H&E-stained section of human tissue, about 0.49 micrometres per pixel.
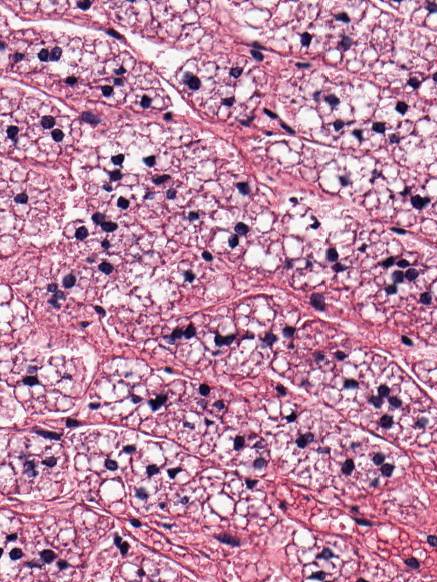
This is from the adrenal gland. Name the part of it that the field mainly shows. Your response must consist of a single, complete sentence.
The subject of this tissue section is the part called zona fasciculata.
